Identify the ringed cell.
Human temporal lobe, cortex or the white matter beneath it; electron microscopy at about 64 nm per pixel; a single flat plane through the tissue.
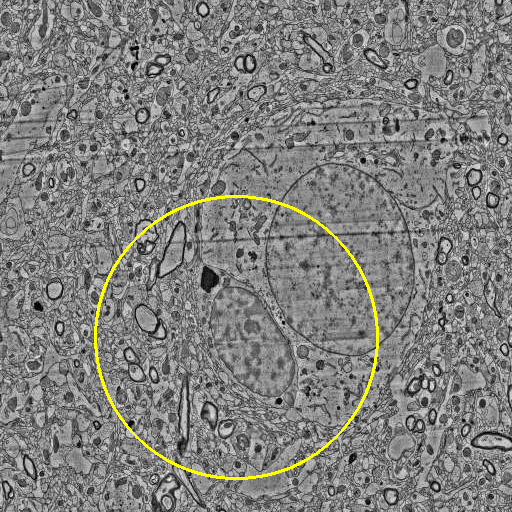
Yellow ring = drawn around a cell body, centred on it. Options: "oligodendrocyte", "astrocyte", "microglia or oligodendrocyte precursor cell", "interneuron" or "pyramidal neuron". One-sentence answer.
What the ring is centred on is an oligodendrocyte.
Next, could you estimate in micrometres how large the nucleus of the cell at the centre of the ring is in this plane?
The nucleus measures about 8 by 5 micrometres, so it is clearly longer than it is wide in this plane.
